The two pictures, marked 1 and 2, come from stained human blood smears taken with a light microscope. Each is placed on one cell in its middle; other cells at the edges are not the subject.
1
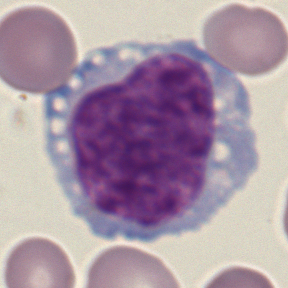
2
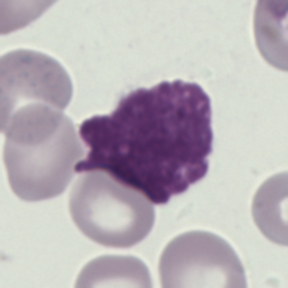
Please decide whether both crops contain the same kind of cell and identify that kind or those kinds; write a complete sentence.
No, crop 1 carries a myeloblast and crop 2 carries a smudge cell.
